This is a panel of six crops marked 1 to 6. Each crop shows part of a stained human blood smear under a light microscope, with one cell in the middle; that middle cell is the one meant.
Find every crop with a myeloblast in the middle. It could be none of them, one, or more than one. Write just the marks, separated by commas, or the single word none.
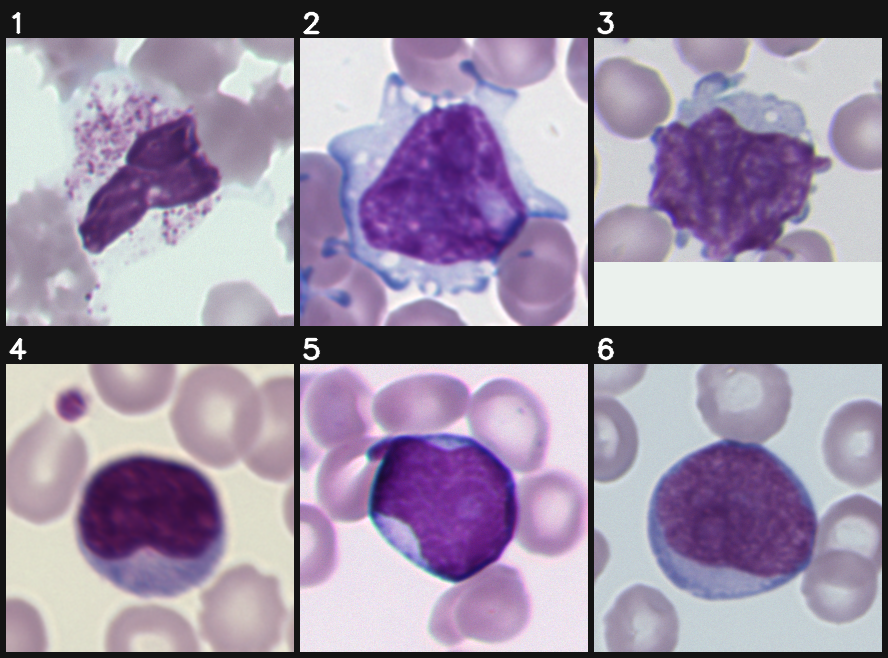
2, 3, 5, 6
